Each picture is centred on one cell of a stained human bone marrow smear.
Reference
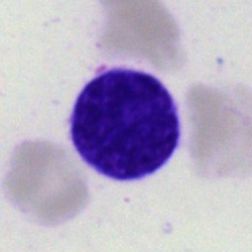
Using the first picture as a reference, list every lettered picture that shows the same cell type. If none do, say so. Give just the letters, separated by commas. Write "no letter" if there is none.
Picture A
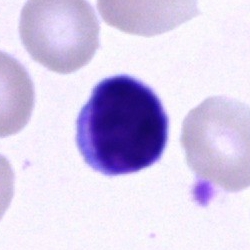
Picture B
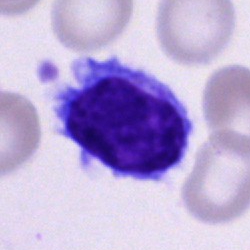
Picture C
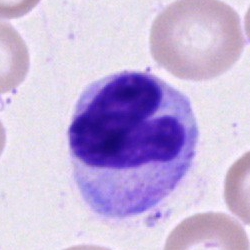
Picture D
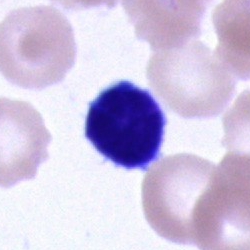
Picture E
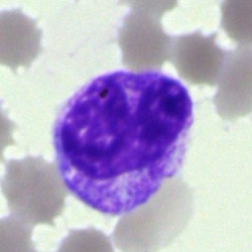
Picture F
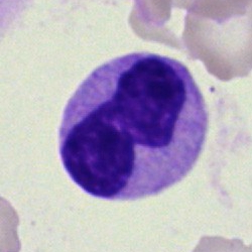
A, B, D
